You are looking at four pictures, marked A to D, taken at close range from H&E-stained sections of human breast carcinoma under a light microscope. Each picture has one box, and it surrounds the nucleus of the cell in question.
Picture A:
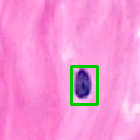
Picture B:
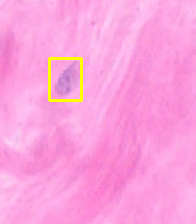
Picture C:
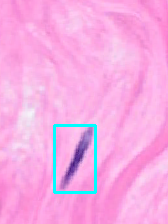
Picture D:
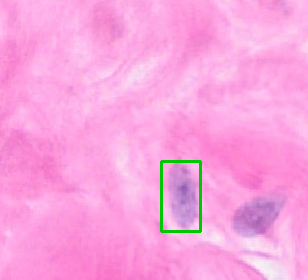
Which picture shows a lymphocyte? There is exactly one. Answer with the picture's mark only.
A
